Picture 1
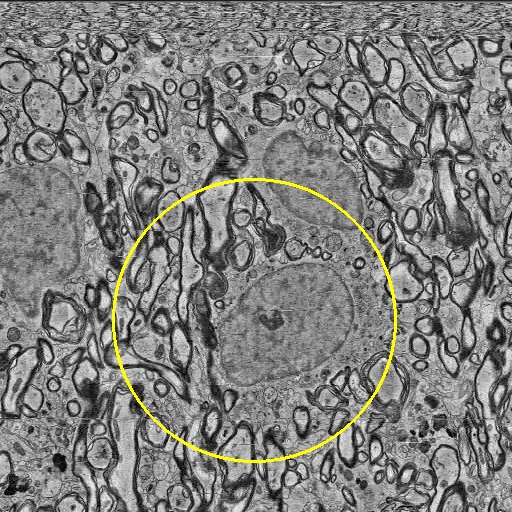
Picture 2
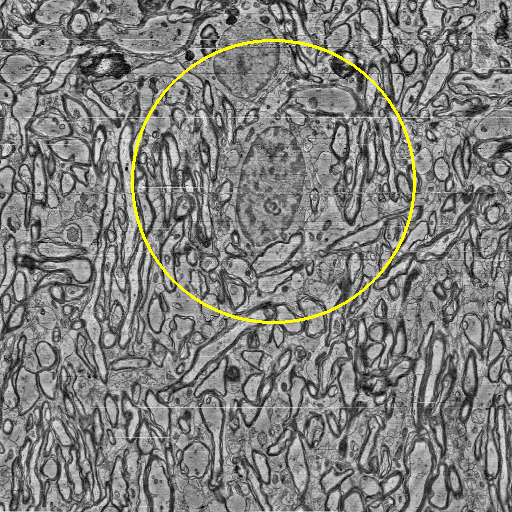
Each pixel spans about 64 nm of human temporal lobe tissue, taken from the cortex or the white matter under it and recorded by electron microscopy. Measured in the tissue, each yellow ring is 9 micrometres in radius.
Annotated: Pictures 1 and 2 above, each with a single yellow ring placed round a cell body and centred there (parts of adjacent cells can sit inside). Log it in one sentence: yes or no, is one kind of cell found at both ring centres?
Yes, the ring centres of the two pictures hold cells of one kind.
